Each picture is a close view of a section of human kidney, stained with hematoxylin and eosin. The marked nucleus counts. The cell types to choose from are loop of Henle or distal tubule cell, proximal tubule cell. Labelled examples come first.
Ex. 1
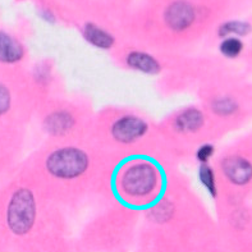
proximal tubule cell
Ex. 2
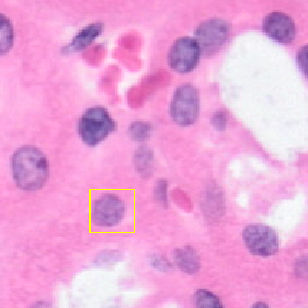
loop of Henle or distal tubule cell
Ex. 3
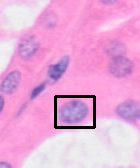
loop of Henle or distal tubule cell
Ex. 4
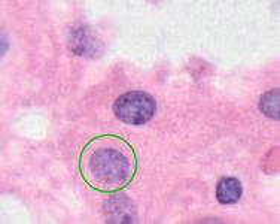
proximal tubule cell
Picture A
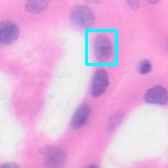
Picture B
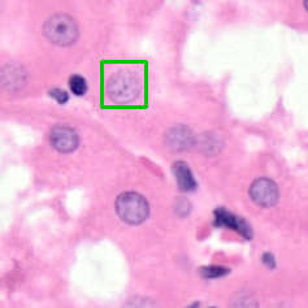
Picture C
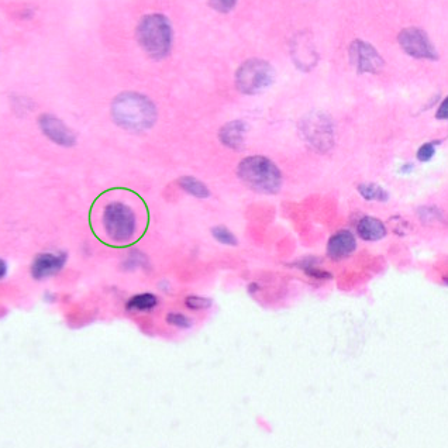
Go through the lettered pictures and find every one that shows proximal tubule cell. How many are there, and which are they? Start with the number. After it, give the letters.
2, namely B, C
